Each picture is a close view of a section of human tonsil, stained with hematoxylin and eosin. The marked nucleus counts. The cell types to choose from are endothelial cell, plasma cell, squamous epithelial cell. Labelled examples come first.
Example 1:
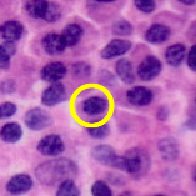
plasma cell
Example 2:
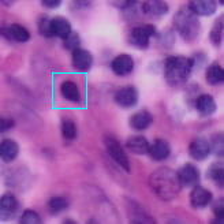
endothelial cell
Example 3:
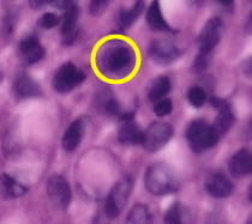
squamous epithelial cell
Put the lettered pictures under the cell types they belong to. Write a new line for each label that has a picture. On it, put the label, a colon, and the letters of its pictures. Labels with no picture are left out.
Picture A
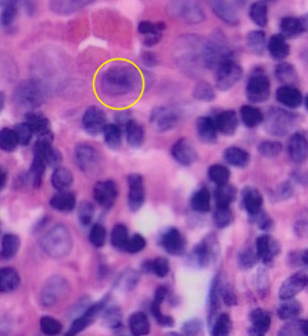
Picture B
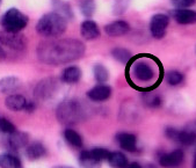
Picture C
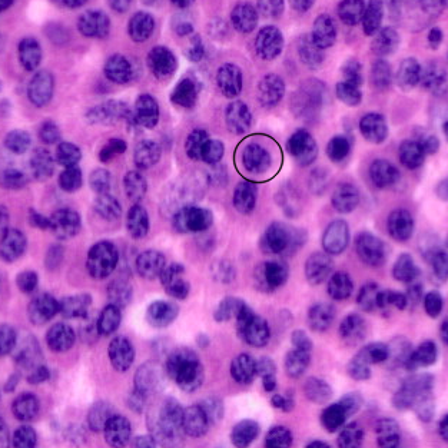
endothelial cell: A, B
plasma cell: C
